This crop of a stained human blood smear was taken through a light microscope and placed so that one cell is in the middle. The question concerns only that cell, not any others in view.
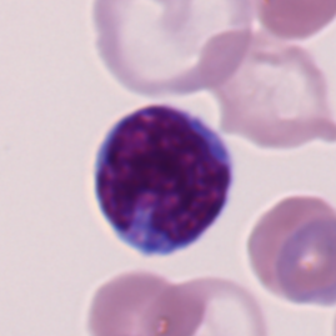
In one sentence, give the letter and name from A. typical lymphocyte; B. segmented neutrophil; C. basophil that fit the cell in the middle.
In this crop the middle cell is a typical lymphocyte, so option A is the correct answer.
